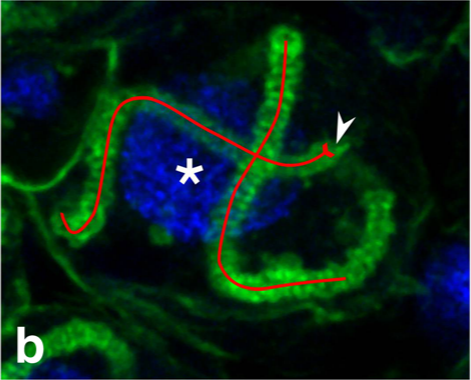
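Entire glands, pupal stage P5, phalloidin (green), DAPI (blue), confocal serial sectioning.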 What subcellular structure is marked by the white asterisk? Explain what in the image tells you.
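The asterisk sits on a large rounded blue body in the middle of the cell. Green tube segments curve around this blue body. So: nucleus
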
